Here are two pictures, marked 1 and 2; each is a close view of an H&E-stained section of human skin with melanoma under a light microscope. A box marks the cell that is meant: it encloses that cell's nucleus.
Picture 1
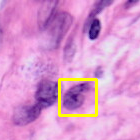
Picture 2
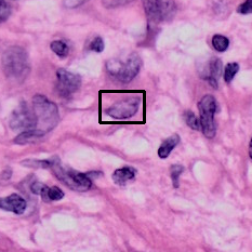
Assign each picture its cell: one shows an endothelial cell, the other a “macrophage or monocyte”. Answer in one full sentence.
It is picture 1 that shows a “macrophage or monocyte”, and picture 2 that shows an endothelial cell.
